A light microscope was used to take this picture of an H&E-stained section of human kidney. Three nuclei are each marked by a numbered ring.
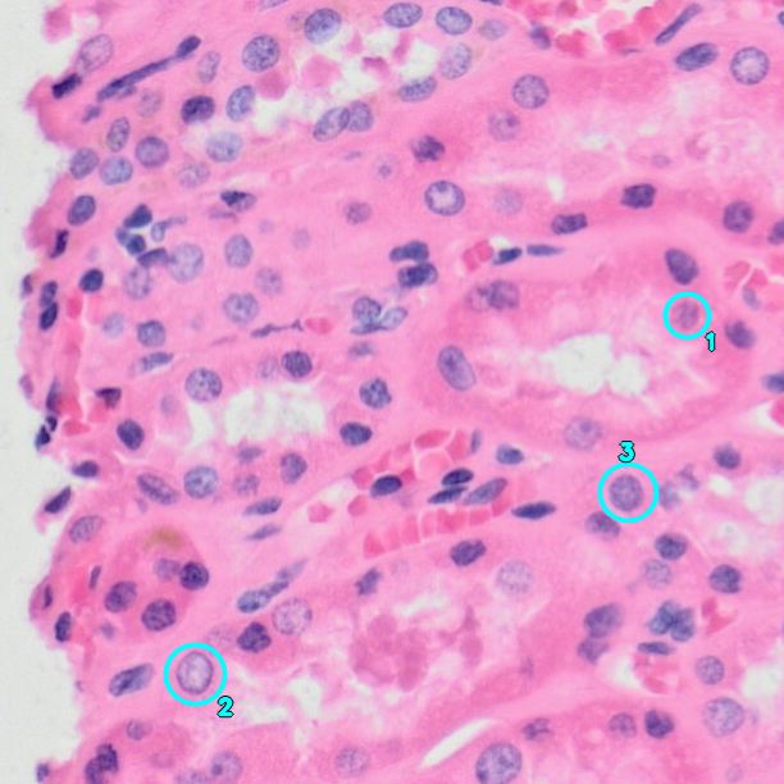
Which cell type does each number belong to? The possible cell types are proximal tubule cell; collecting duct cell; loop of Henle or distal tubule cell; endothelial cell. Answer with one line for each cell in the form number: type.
1: proximal tubule cell
2: proximal tubule cell
3: loop of Henle or distal tubule cell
